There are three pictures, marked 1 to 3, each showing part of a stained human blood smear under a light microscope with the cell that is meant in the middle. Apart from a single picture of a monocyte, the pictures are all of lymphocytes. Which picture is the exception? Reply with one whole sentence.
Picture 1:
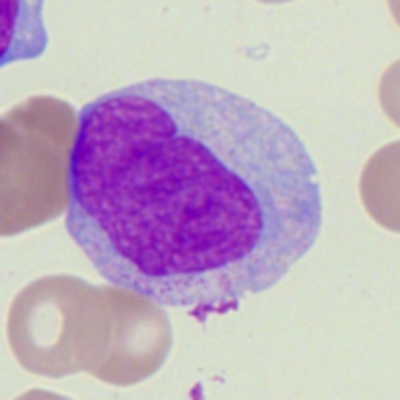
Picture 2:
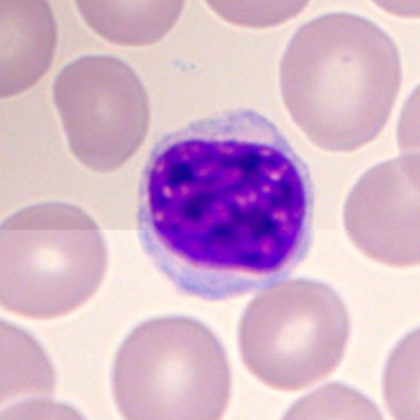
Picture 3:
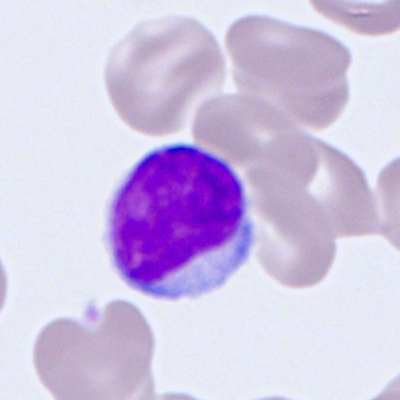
The monocyte is the one in picture 1.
